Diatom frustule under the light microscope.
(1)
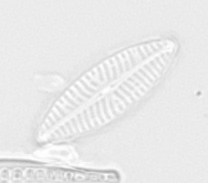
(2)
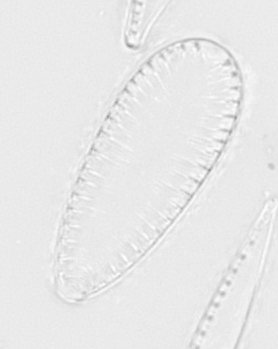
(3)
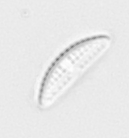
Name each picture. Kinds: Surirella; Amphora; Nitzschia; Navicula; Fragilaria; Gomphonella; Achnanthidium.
1: Navicula
2: Surirella
3: Amphora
